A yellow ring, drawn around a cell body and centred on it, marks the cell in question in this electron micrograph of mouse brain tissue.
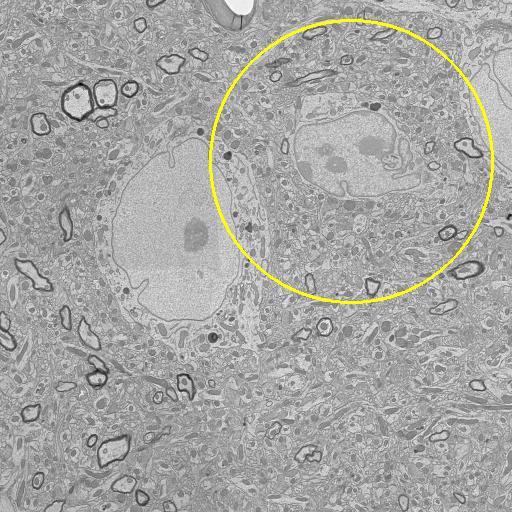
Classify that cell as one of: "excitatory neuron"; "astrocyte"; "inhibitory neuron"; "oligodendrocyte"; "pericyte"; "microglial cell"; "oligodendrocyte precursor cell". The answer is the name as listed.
oligodendrocyte precursor cell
